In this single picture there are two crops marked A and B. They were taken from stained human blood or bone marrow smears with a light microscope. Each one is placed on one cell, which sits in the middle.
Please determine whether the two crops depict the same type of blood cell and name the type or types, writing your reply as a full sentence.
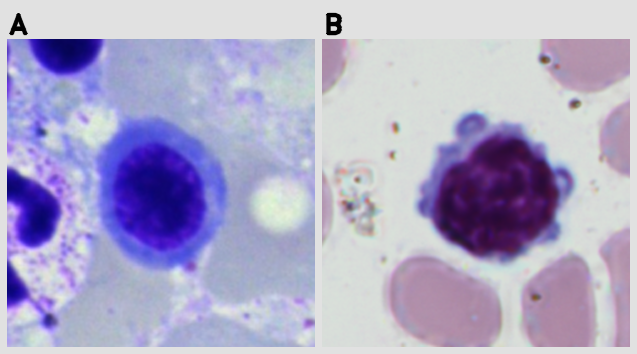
No, an erythroblast is in crop A, while a plasma cell is in crop B.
